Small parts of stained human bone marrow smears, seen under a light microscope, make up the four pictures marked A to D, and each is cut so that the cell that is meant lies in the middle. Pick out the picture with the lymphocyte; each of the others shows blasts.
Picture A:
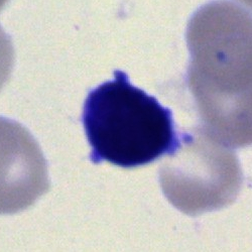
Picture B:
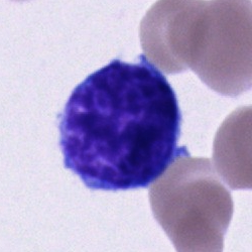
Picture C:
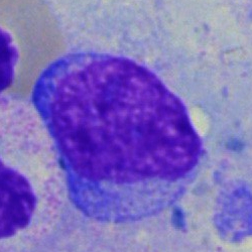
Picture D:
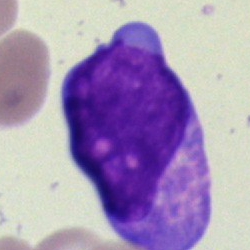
A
